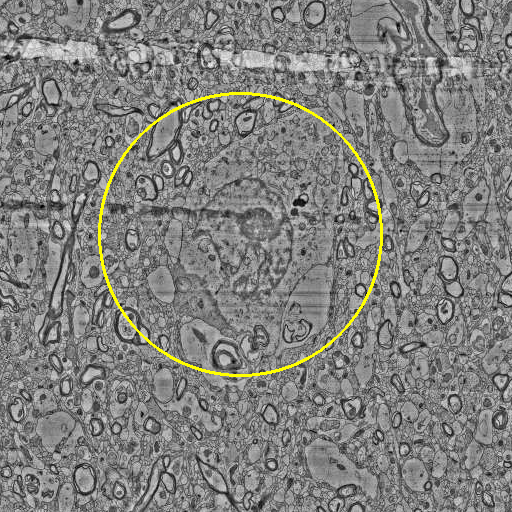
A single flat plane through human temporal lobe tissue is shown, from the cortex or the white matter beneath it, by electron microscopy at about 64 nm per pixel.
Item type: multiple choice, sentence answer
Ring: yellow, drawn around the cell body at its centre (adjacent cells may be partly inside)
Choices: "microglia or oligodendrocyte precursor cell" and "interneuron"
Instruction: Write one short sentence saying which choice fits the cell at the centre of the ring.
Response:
This ring is drawn around an interneuron.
